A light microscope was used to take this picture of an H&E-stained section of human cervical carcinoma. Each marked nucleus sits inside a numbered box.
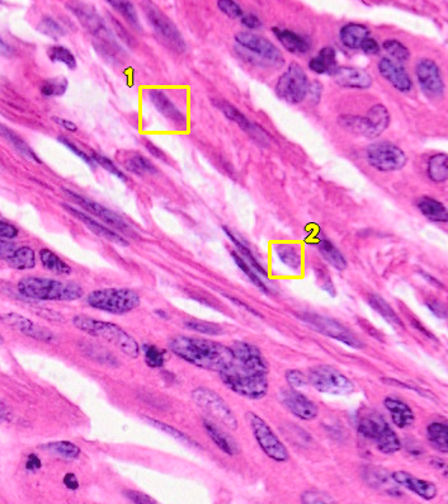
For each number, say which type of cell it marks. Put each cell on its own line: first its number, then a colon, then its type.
1: fibroblast
2: macrophage or monocyte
